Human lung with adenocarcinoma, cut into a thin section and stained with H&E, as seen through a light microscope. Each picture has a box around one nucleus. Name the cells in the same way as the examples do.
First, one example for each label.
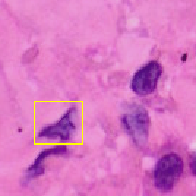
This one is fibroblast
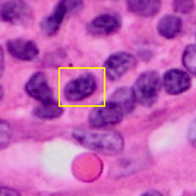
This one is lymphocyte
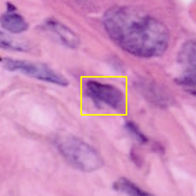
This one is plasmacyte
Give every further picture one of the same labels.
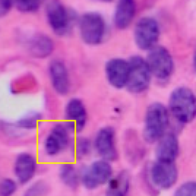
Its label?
lymphocyte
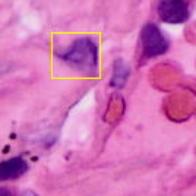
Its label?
fibroblast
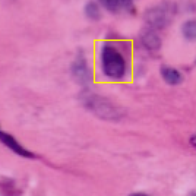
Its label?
plasmacyte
